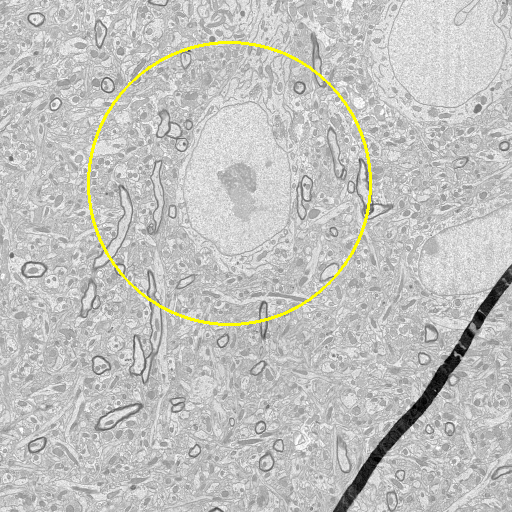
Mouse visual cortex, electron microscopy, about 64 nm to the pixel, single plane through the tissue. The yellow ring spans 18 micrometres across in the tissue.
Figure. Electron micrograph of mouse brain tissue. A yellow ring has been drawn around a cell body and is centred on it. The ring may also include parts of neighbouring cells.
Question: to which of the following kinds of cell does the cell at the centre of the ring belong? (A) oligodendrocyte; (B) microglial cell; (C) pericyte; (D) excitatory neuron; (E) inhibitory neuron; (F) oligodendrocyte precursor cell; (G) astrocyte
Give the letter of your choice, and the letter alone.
E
